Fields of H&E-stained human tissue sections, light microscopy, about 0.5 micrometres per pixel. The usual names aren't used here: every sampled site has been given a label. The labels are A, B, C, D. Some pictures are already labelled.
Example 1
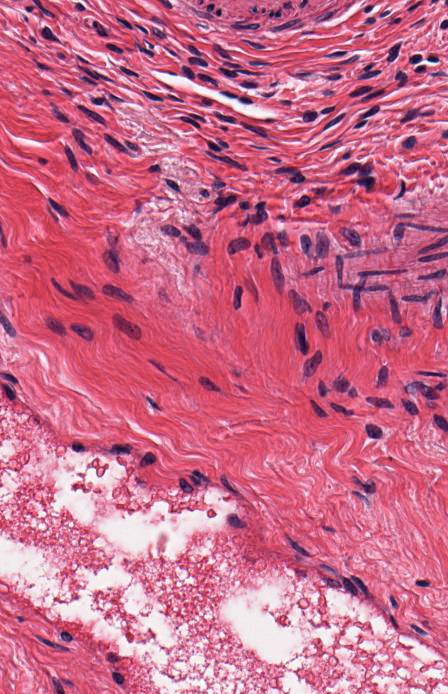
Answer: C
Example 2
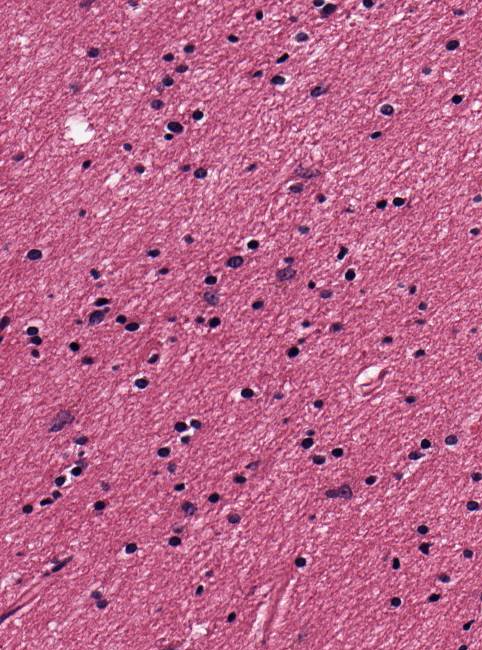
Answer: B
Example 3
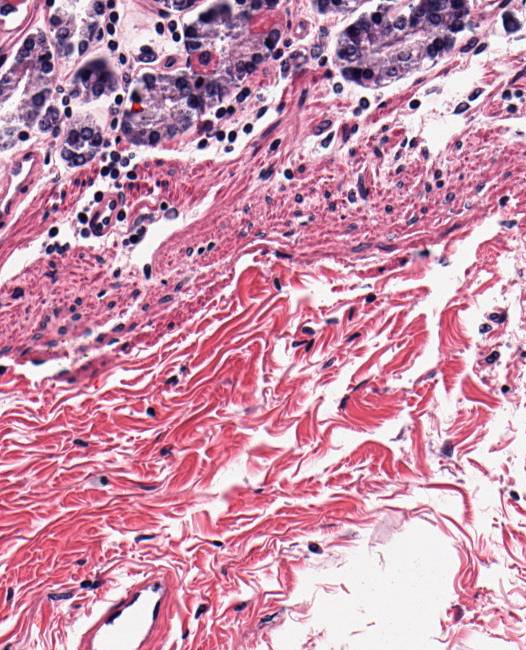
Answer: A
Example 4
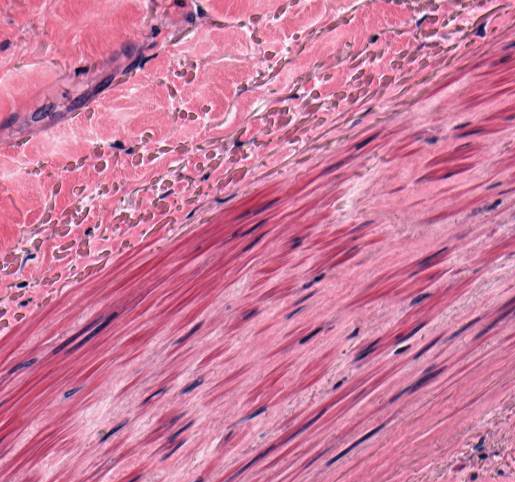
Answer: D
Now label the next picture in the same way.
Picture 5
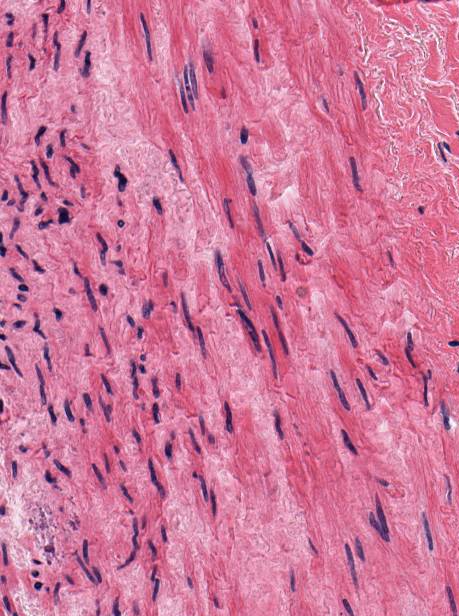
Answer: D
